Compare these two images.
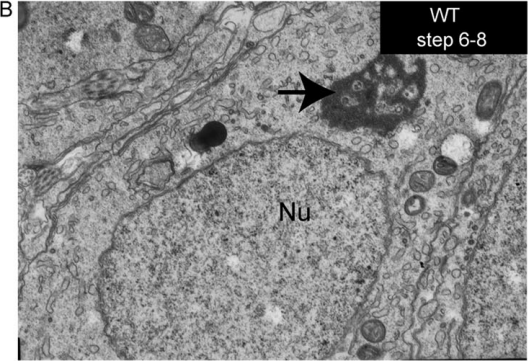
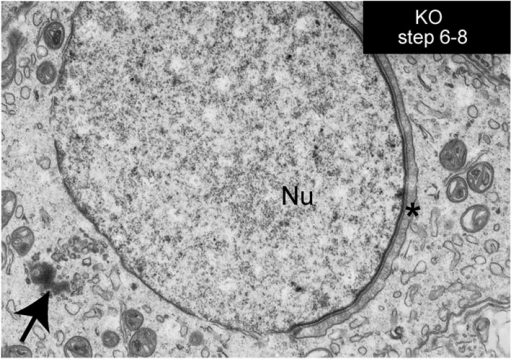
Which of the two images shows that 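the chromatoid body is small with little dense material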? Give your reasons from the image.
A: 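Second image: the arrow marks only a small dense spot in the cytoplasm. First image: the arrow marks a large lobed dense mass.
Hence: the second image.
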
